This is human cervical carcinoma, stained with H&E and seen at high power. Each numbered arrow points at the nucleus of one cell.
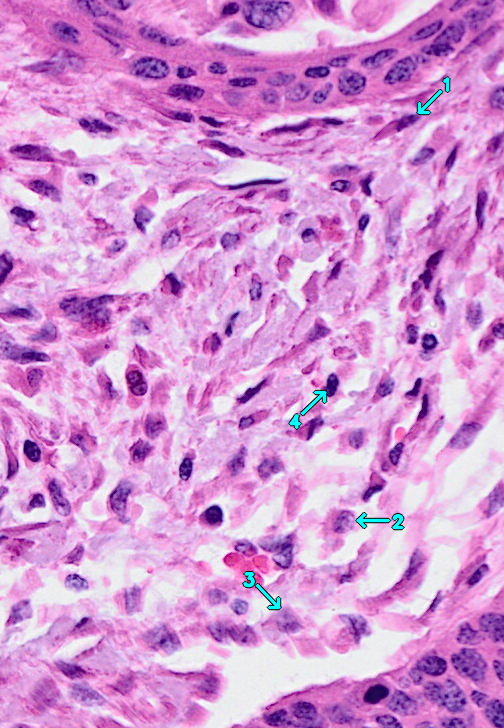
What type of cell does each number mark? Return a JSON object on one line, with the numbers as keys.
{"1": "fibroblast", "2": "macrophage or monocyte", "3": "fibroblast", "4": "lymphocyte"}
